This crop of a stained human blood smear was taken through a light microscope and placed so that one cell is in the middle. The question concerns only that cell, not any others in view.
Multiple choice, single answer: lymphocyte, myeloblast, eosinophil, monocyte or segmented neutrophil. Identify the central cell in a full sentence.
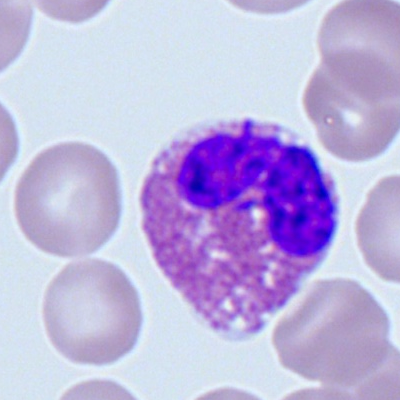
The middle of this crop is occupied by an eosinophil.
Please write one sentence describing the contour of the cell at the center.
From every side, the cell boundary is smooth and free of projections.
